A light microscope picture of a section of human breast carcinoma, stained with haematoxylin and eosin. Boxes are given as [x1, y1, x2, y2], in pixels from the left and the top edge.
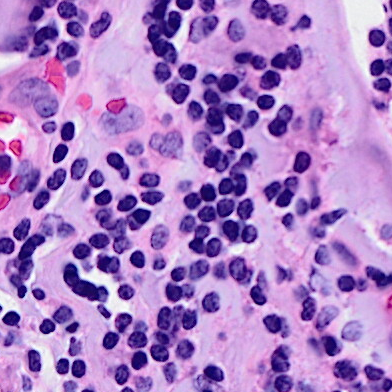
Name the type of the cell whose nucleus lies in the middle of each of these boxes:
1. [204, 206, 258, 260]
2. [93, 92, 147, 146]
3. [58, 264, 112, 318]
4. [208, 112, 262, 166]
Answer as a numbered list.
1. lymphocyte
2. endothelial cell
3. lymphocyte
4. lymphocyte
